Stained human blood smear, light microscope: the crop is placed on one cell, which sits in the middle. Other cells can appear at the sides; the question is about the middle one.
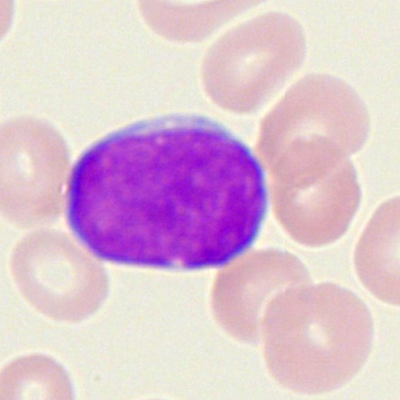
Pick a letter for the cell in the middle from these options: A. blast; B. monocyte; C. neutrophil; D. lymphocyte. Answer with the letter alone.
A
